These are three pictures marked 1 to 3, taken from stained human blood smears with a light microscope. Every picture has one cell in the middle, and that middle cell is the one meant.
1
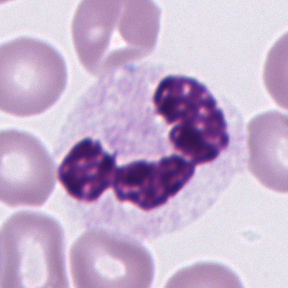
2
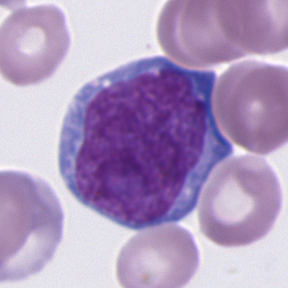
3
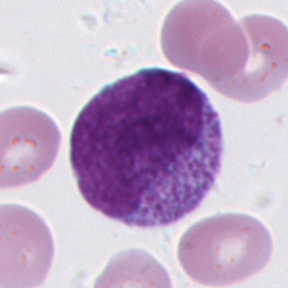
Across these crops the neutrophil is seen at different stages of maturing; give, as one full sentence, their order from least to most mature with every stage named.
From the earliest stage onward, the order is crop 2 (a myeloblast), crop 3 (a myelocyte) and crop 1 (a segmented neutrophil).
